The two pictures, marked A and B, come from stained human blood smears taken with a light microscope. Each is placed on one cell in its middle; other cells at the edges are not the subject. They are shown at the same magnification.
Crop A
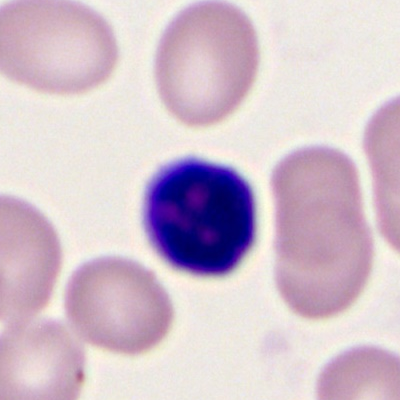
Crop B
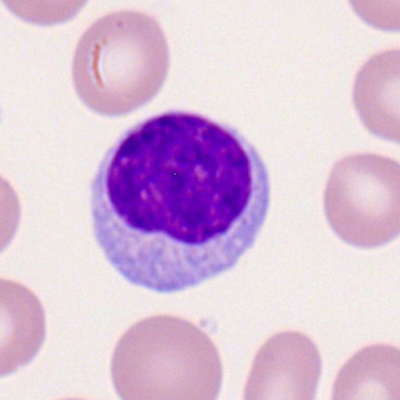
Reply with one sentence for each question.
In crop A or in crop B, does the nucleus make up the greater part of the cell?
Of the two, the nucleus in crop A makes up the greater part of its cell.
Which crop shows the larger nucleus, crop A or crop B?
The nucleus in crop B is larger, with about 1.5 times the area of the one in crop A.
